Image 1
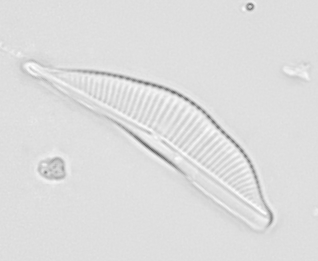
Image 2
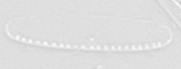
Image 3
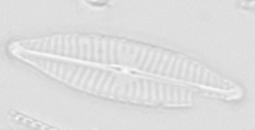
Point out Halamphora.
That is picture 1.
